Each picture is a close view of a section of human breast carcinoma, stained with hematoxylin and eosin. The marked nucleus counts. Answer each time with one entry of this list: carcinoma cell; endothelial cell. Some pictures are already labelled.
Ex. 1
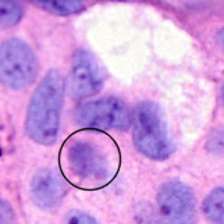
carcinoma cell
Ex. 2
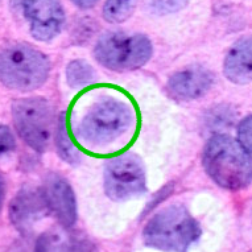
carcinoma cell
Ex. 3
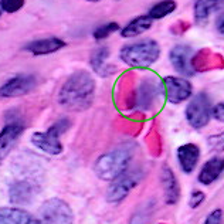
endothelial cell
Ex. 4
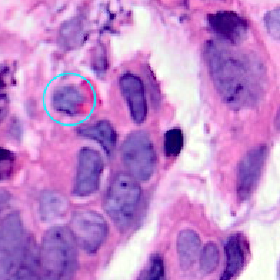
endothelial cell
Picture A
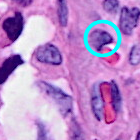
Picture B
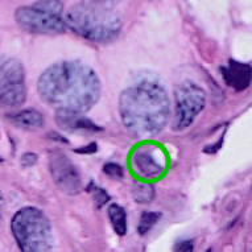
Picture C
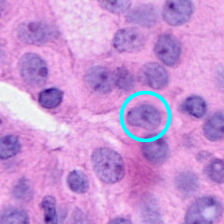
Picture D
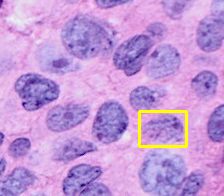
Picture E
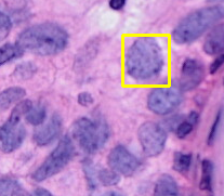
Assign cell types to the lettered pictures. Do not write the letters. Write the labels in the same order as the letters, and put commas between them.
endothelial cell, endothelial cell, carcinoma cell, carcinoma cell, carcinoma cell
